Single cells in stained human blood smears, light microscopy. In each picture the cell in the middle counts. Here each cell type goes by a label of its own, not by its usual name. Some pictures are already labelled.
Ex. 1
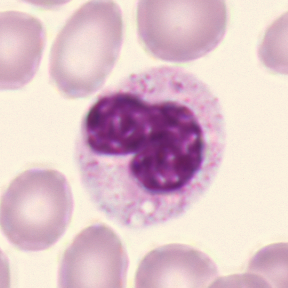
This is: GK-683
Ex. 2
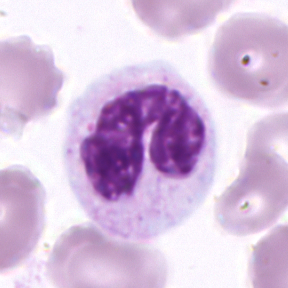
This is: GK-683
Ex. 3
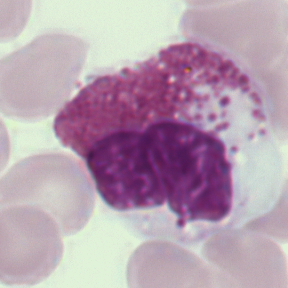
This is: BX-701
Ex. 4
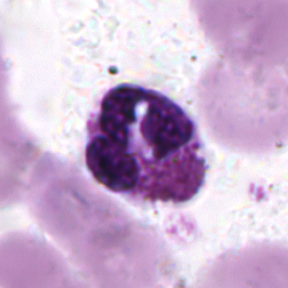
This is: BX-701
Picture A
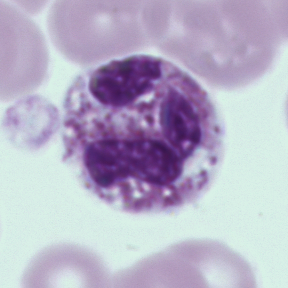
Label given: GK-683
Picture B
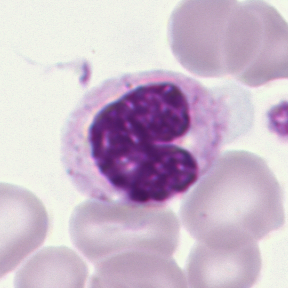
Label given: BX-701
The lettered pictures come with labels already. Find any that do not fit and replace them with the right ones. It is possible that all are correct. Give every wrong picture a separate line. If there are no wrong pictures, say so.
Wrong: A (GK-683); correct: BX-701
Wrong: B (BX-701); correct: GK-683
